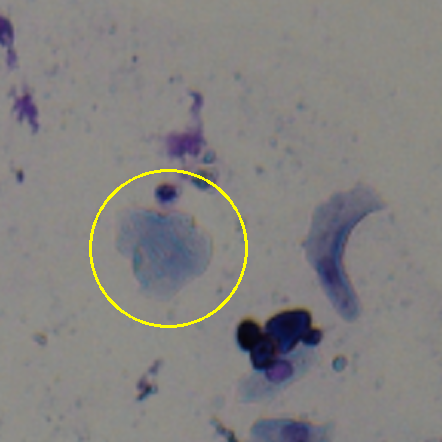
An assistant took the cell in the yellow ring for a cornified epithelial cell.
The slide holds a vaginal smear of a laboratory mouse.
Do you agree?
I agree, it is a cornified epithelial cell.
